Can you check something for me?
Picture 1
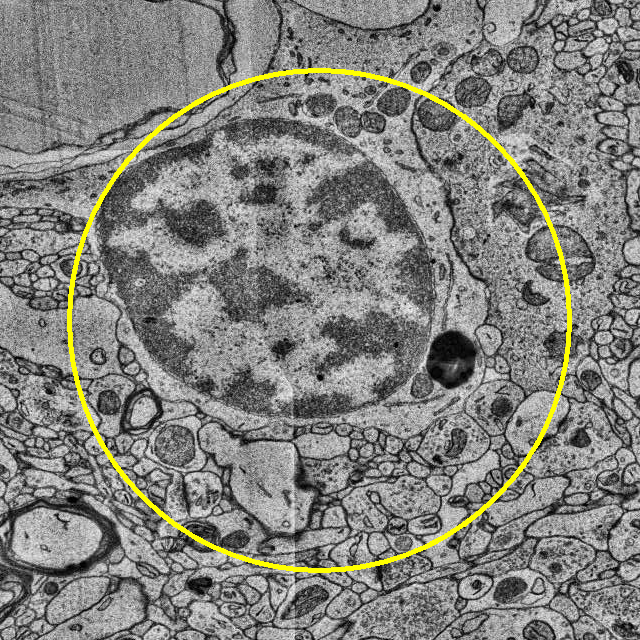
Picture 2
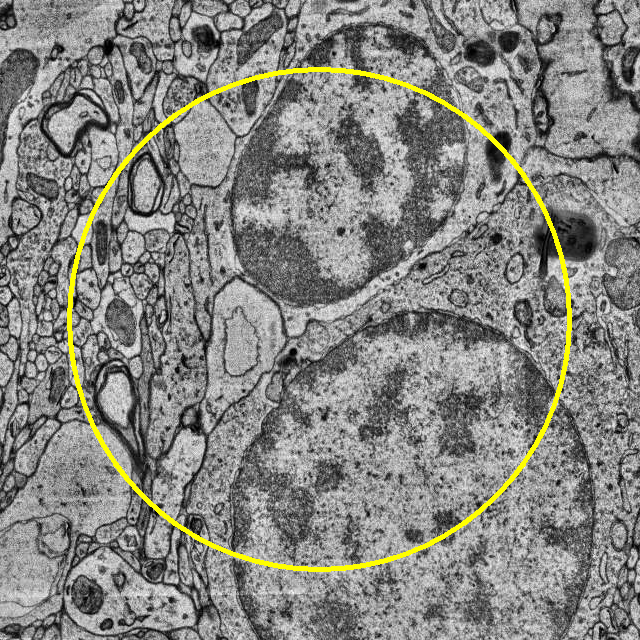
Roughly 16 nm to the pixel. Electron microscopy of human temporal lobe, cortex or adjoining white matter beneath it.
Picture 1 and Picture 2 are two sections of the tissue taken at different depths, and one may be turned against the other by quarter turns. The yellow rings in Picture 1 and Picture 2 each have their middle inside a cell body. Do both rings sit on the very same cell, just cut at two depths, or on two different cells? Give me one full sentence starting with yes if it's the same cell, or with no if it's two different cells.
Yes, a single cell is marked twice, once by each yellow ring.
